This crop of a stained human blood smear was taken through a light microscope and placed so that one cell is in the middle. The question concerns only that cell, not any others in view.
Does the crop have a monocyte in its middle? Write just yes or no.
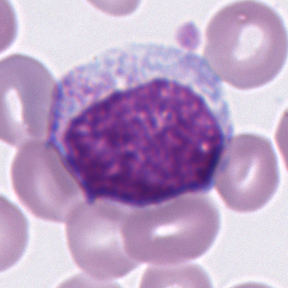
no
